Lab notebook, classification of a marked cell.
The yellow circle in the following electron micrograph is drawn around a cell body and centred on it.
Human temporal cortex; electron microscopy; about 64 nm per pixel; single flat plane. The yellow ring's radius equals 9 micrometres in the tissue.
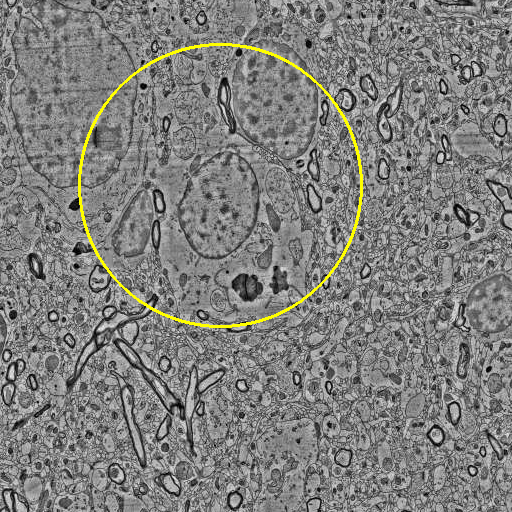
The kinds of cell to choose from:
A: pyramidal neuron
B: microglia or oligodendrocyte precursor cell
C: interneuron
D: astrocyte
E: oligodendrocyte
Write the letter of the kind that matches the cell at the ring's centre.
D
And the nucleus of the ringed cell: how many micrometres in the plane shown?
The nucleus comes to roughly 7 by 5 micrometres in this plane.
